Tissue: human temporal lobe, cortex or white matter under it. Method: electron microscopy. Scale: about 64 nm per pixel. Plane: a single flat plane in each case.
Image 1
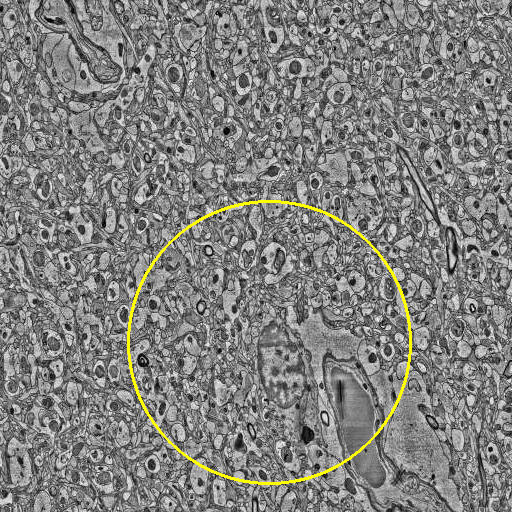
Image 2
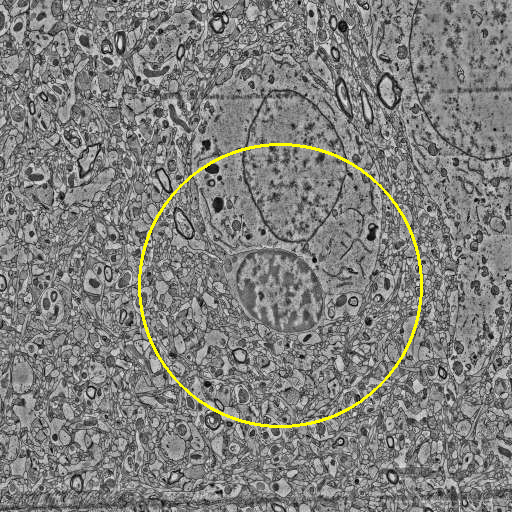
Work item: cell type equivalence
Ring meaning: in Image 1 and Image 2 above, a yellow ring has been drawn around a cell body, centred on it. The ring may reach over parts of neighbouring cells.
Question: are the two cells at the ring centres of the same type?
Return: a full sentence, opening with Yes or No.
Yes, the two centred cells are of the same type.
